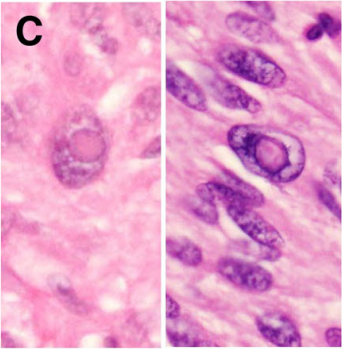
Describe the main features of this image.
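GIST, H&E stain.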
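Two close views of tumor cells with oval nuclei show, in each, a single round pale pink body lying inside the nucleus. The body is sharply bordered and set off from the surrounding chromatin by a thin clear halo, with the nuclear membrane wrapping around it. In the right image the neighbouring cells are elongated spindle cells with cigar-shaped nuclei. These round bodies are intranuclear inclusions.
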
